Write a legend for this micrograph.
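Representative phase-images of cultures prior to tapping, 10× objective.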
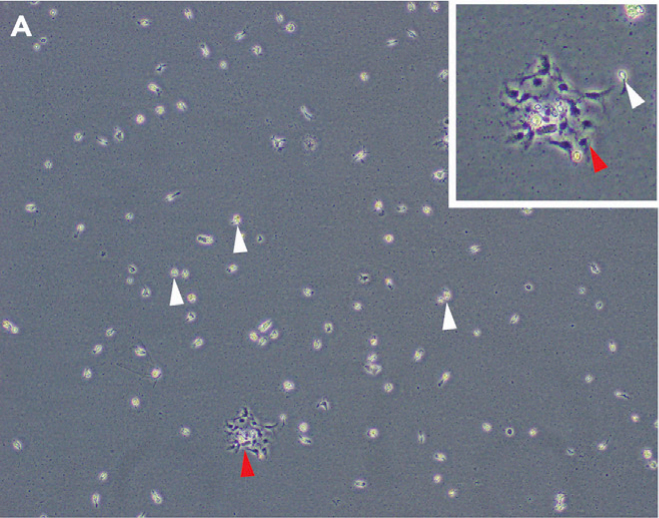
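Near the lower middle lies a compact cluster of flat, dark cells with irregular, spreading processes and no bright halo. The inset enlarges this cluster, showing its angular, interconnected cells beside a single bright rounded cell.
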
